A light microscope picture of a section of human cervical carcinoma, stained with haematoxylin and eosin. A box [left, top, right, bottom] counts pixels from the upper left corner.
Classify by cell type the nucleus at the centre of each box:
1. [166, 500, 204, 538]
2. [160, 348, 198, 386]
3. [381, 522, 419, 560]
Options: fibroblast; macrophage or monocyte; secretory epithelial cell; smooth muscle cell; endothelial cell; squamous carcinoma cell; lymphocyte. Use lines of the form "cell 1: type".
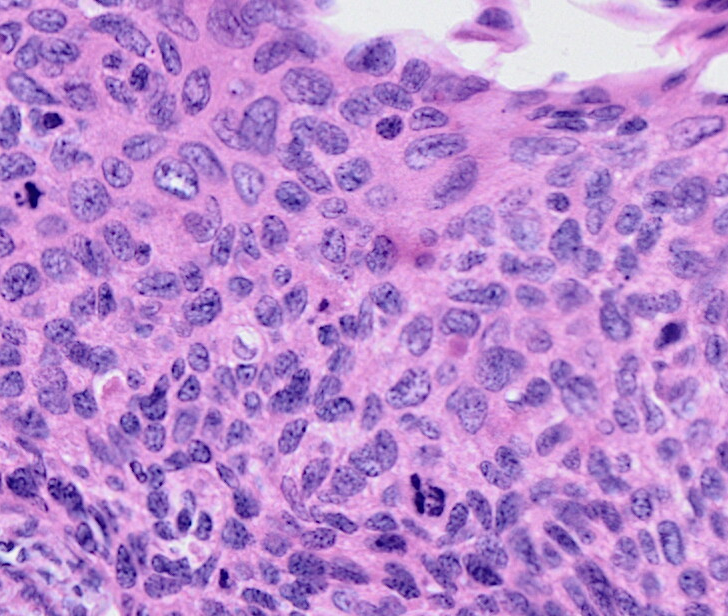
cell 1: lymphocyte
cell 2: squamous carcinoma cell
cell 3: squamous carcinoma cell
